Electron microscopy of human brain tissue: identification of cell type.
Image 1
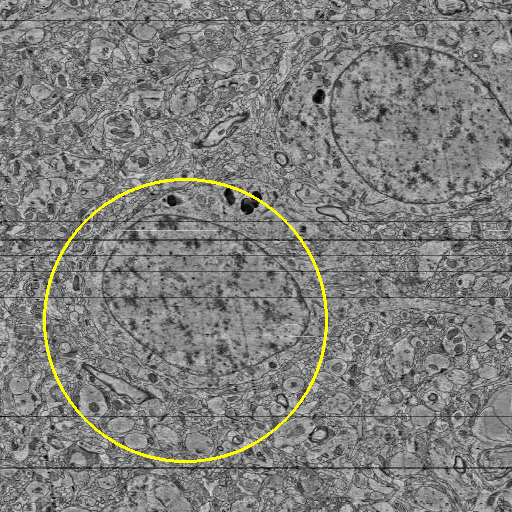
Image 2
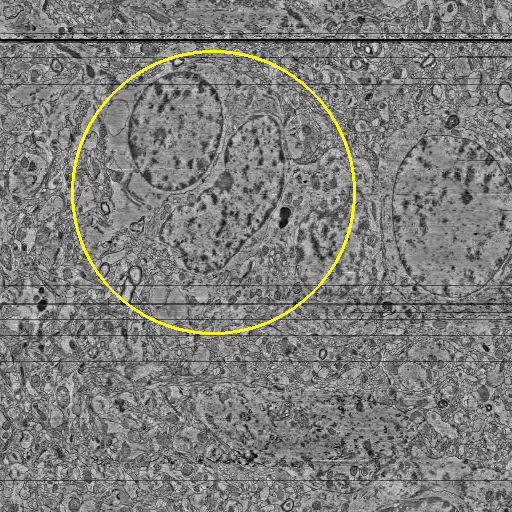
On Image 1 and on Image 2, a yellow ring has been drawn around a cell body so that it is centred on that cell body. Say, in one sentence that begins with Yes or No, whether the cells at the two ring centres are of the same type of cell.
No, the two cells are two separate types of cell.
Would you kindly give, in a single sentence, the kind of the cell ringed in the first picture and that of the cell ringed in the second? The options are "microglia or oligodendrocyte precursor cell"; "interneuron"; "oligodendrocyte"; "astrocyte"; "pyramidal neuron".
The second cell is a microglial cell or oligodendrocyte precursor cell, and the first cell is a pyramidal neuron.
